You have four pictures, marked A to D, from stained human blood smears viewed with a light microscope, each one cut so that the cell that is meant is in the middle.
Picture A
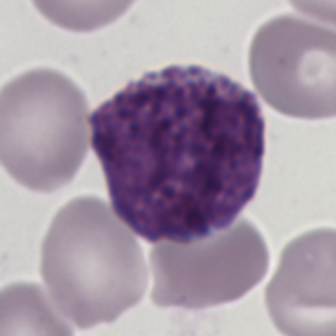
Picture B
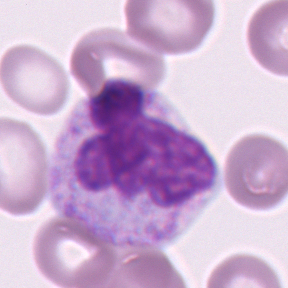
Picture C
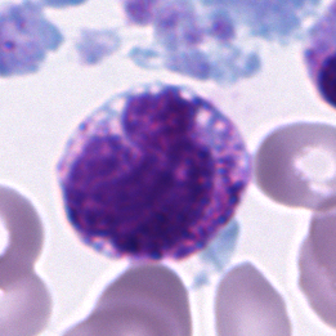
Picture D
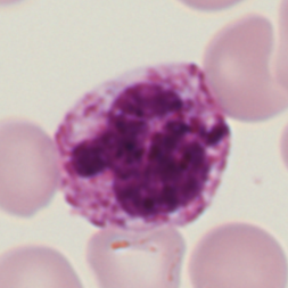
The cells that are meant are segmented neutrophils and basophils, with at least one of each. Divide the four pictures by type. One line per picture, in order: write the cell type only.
basophil
segmented neutrophil
basophil
basophil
